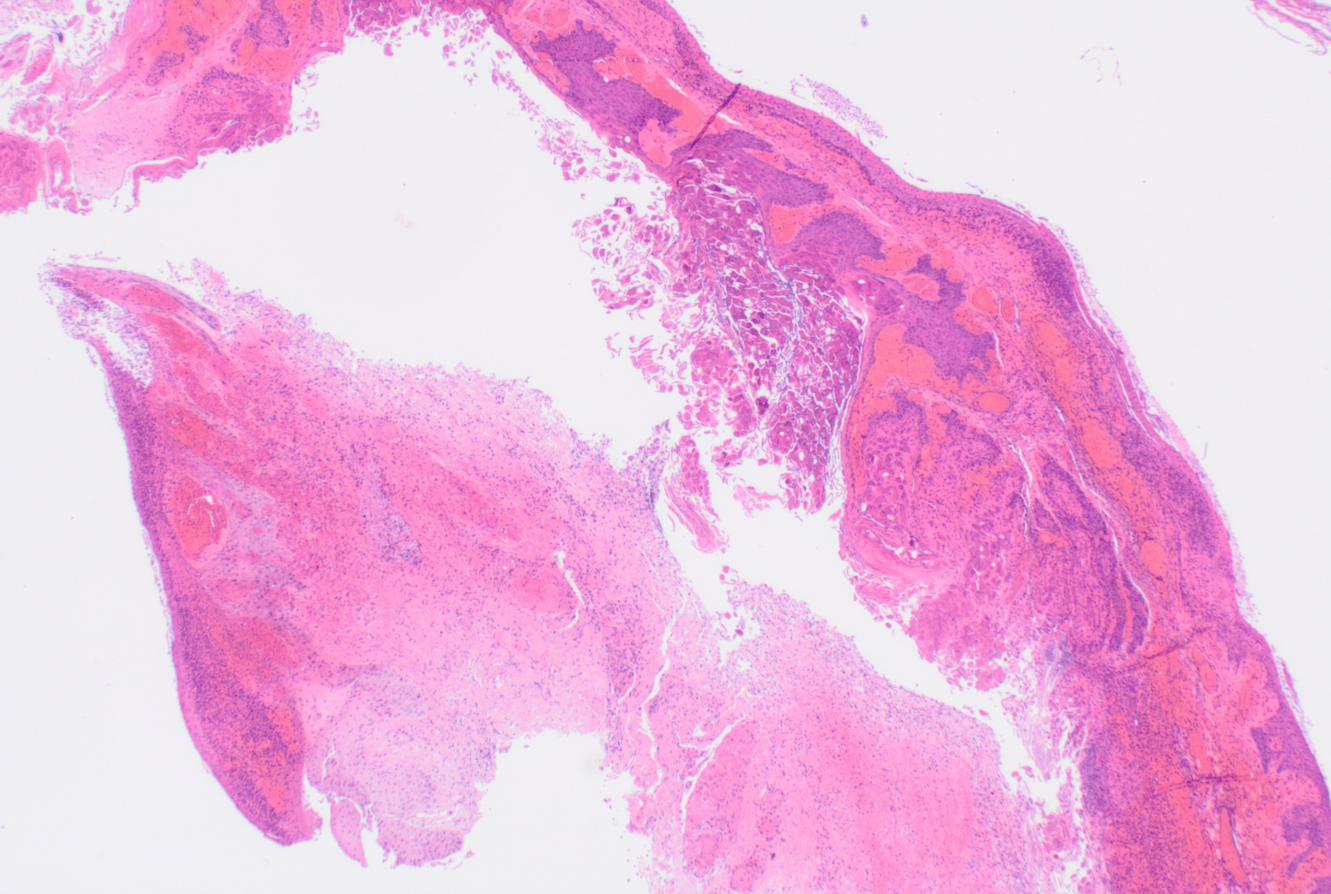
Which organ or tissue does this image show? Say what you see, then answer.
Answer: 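Fragments are lined on one side by a dense purple stratified layer consistent with epidermis. Paler pink fibrous tissue lies beneath the dense purple layer. That points to this answer: skin.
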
